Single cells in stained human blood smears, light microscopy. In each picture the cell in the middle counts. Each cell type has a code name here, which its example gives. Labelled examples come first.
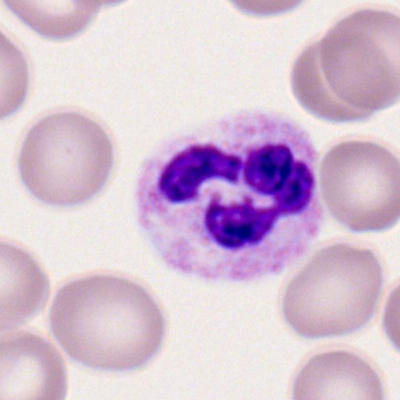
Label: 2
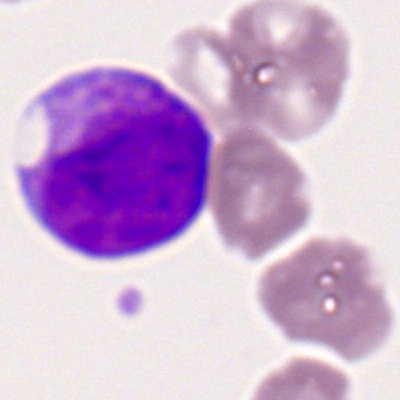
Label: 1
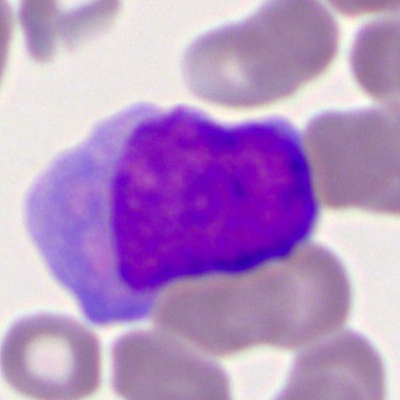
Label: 1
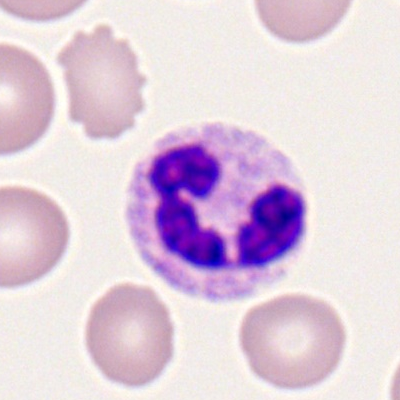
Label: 2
